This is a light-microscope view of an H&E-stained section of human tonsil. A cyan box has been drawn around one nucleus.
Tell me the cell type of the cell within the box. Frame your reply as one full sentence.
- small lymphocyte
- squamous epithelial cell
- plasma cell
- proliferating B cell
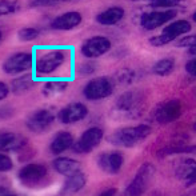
What the cell within the box represents is a plasma cell.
